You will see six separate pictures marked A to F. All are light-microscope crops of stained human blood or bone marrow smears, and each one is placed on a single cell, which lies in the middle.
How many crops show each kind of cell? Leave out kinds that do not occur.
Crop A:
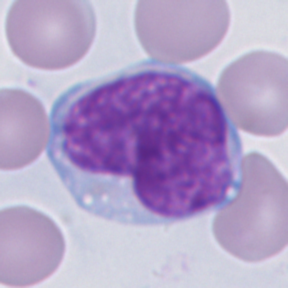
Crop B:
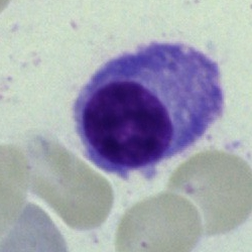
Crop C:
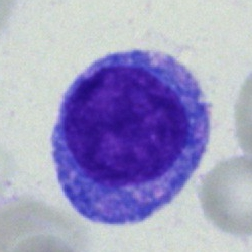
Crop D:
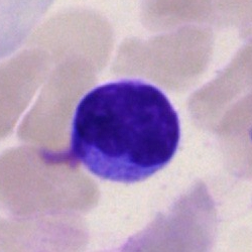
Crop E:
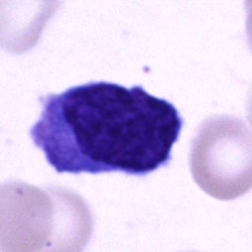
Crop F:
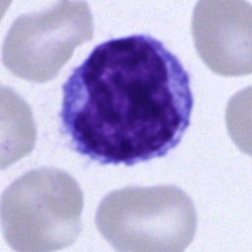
blast: 2
plasma cell: 2
lymphocyte: 2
